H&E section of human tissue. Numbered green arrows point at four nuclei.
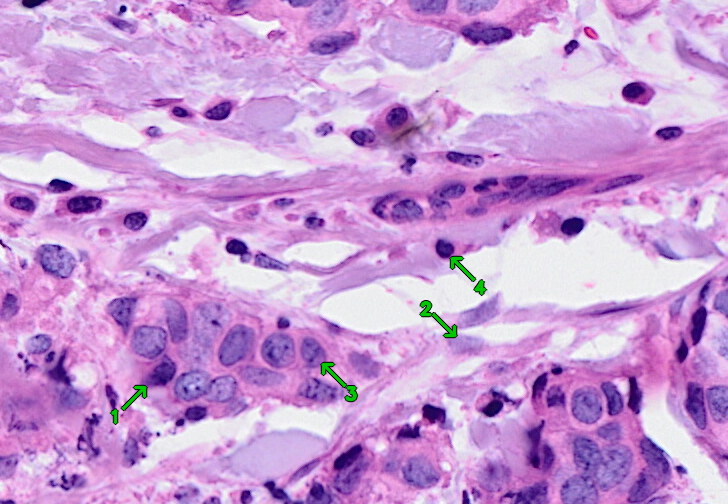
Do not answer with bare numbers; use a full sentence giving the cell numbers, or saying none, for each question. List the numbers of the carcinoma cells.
The cells tagged 1 and 3 are carcinoma cells in this tissue section.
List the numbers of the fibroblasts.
A single numbered cell, cell 2, is a fibroblast.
